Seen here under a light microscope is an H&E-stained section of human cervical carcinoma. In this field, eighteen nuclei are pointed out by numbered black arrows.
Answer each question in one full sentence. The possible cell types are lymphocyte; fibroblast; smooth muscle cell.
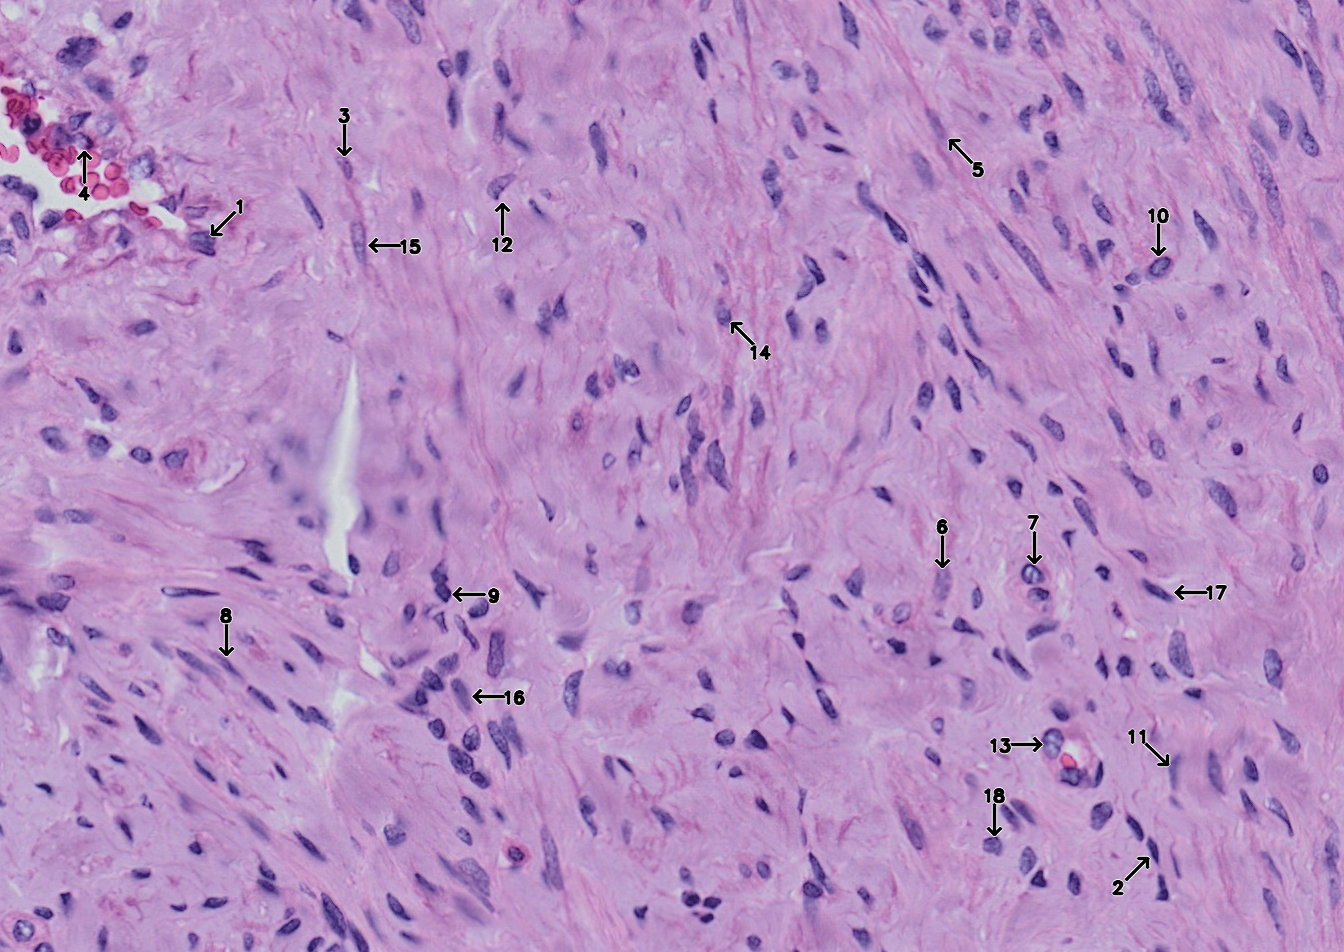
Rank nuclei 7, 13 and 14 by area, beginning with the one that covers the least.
From smallest to largest, the order is 14, 7, 13.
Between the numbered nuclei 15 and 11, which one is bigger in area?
Number 15 is larger; its area is about 1.5 times that of number 11.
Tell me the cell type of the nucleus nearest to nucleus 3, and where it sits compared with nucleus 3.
The nearest one is a fibroblast, found below and to the left of nucleus 3.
